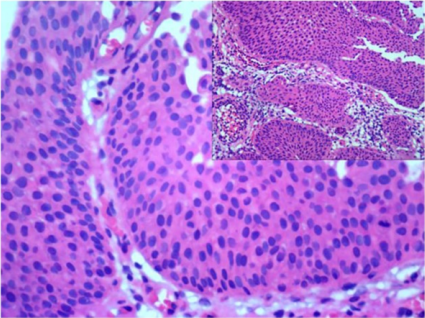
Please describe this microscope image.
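Thick, crowded sheets of tumour epithelial cells lie in broad nests separated by a thin band of loose pink stroma carrying small vessels with red blood cells. The cells have oval, fairly uniform, dark purple nuclei, many aligned roughly in the same direction, and a modest rim of pale pink cytoplasm. Nuclei are evenly spaced without striking size variation. The inset at lower power shows rounded nests of this epithelium set within stroma that holds scattered small dark inflammatory cells. This is a cohesive, orderly epithelial tumour with little nuclear pleomorphism.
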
